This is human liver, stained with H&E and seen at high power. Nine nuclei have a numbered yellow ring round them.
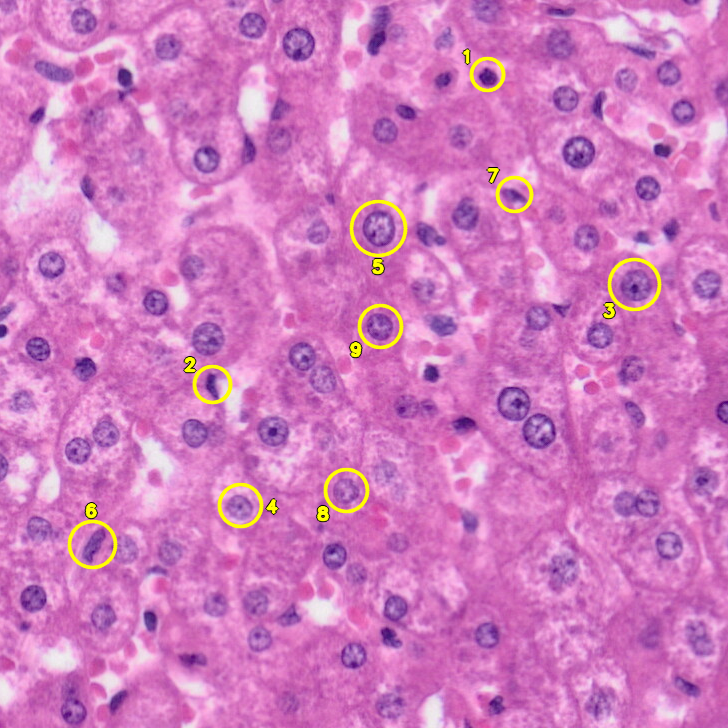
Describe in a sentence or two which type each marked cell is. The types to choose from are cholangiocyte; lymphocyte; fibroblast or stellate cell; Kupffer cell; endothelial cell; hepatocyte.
Cell 1 is a lymphocyte. Cell 2 is a fibroblast or stellate cell. Cells 3, 4, 5, 8 and 9 are hepatocytes. Cell 6 is a Kupffer cell. Cell 7 is an endothelial cell.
